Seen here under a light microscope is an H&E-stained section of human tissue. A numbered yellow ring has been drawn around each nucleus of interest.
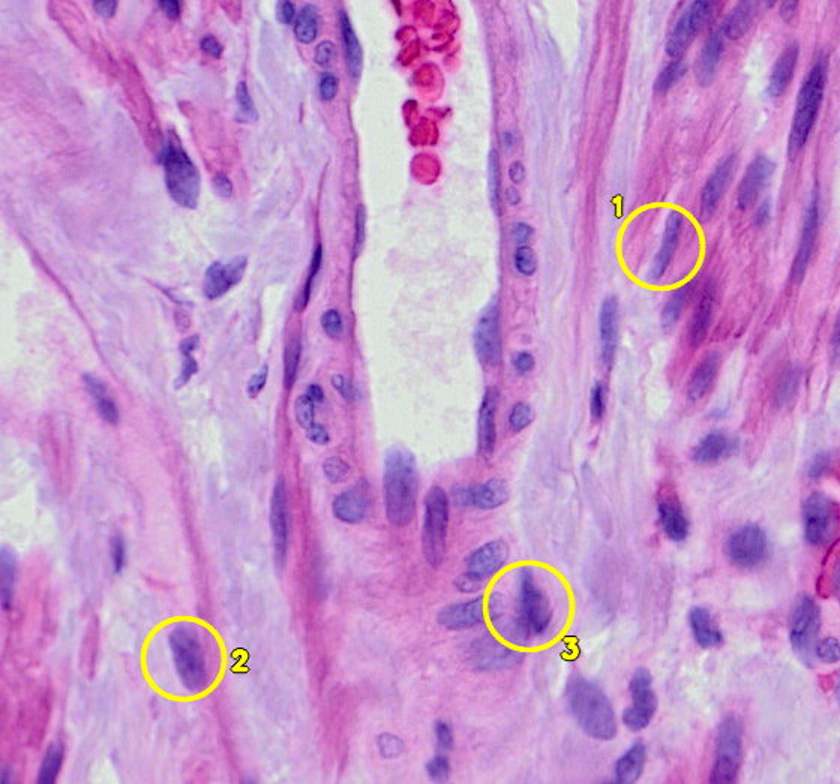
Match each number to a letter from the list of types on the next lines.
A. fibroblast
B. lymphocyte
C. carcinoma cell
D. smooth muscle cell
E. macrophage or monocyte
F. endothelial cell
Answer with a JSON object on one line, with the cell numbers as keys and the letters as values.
{"1": "D", "2": "F", "3": "A"}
